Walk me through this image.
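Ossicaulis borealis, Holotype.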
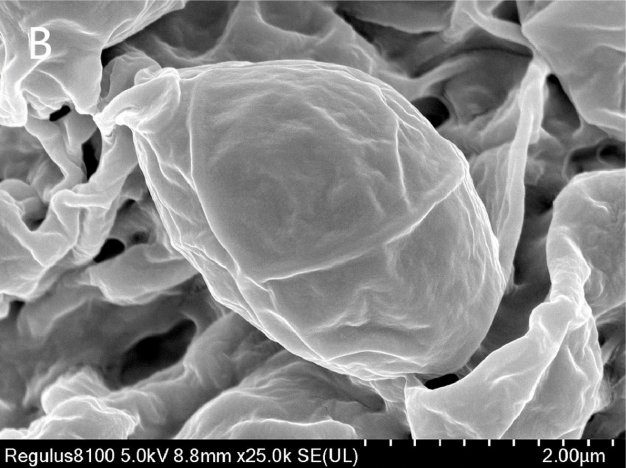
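This is a scanning electron view of a single basidiospore of this mushroom, lying among the collapsed, folded walls of the surrounding filaments. The spore is ellipsoid and a few micrometres long, going by the scale bar. One end of the spore tucks against a neighbouring fold, and the background filaments appear as thin, crumpled sheets.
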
